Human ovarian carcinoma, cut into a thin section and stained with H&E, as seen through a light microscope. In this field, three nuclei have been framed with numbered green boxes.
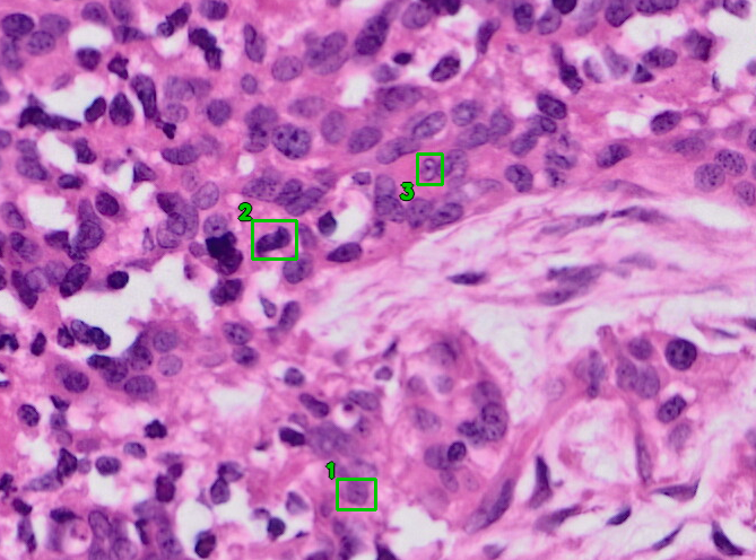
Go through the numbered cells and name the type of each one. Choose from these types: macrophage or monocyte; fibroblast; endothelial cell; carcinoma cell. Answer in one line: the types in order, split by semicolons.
carcinoma cell; macrophage or monocyte; endothelial cell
